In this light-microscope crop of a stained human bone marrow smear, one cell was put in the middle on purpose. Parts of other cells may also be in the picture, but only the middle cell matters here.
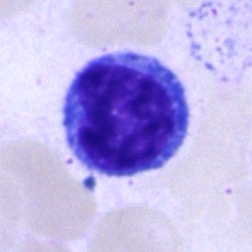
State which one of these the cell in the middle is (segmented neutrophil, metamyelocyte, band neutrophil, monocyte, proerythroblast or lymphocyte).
lymphocyte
